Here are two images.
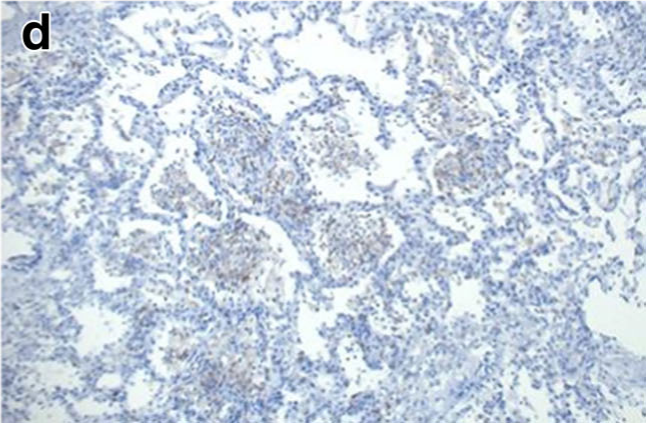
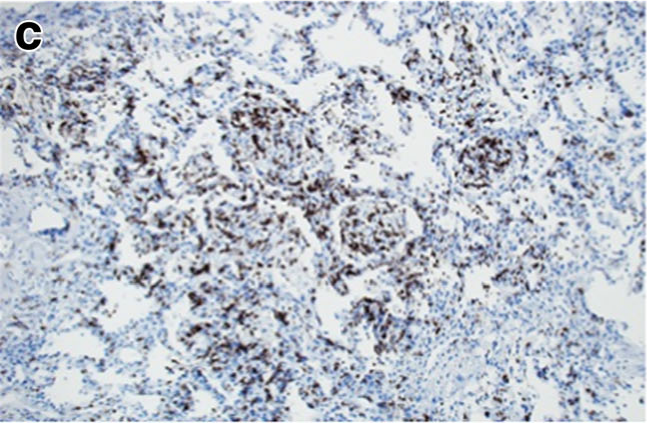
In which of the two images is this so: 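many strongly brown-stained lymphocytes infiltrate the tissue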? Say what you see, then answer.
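First image: only faint pale brown tint, mostly blue nuclei. Second image: numerous dark brown cells in dense clusters. That points to this answer: the second image.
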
